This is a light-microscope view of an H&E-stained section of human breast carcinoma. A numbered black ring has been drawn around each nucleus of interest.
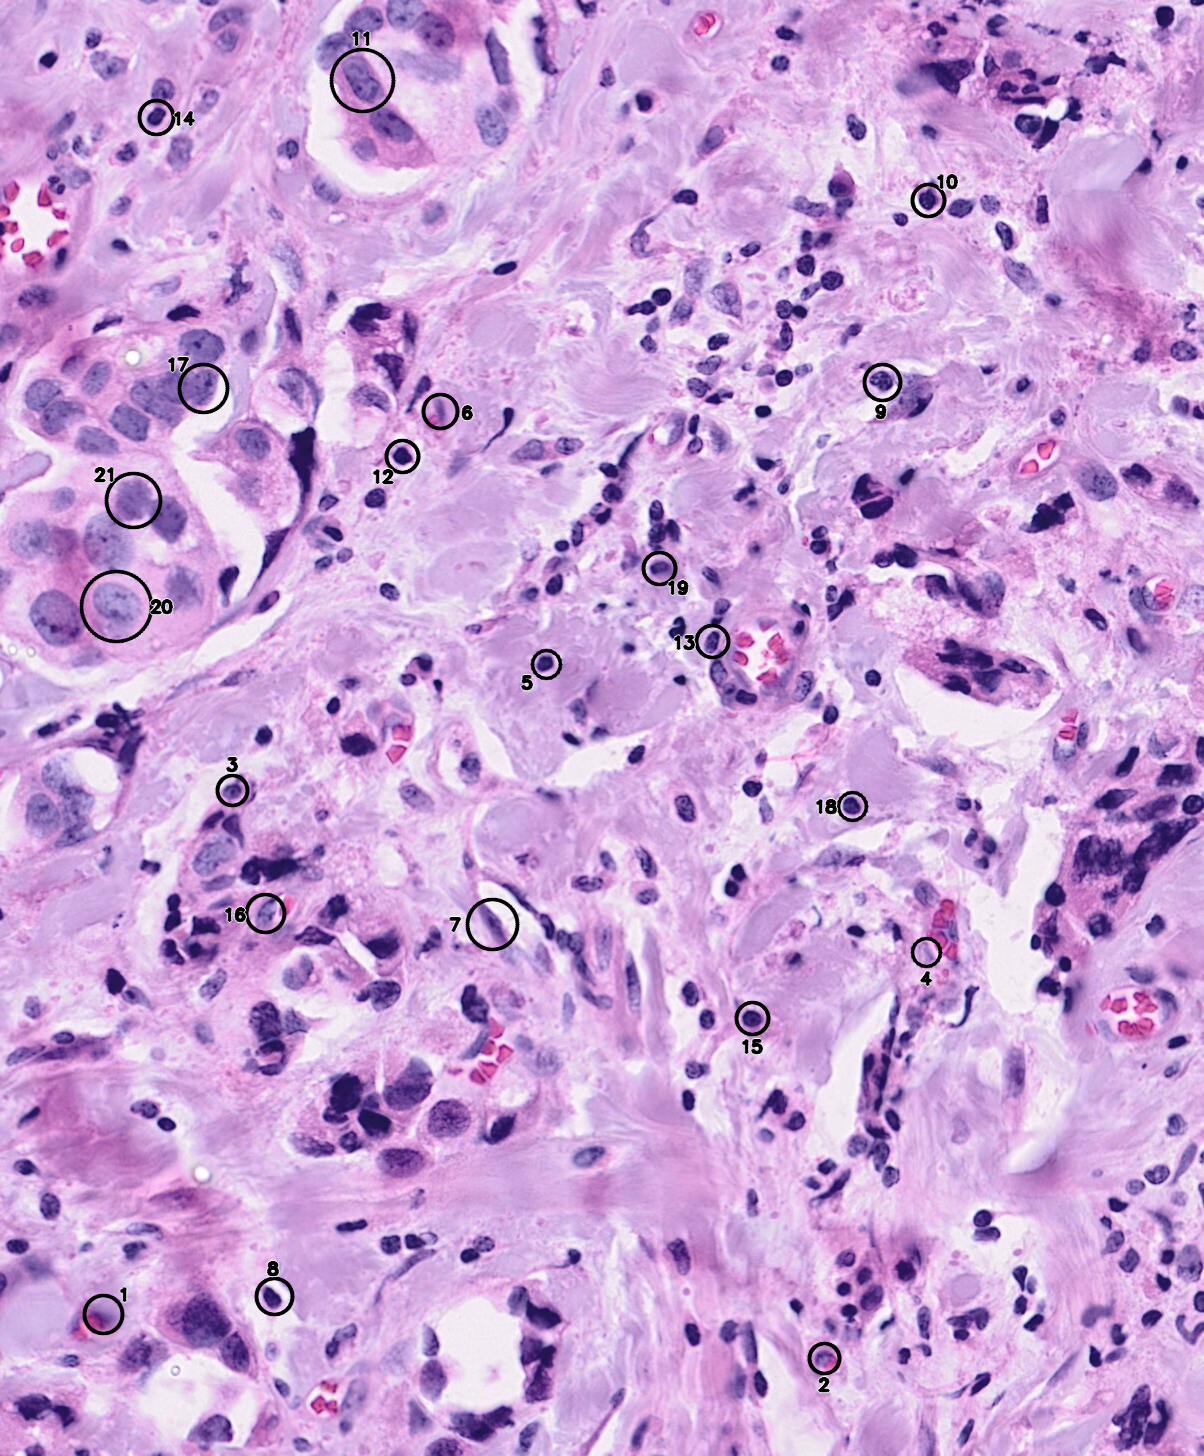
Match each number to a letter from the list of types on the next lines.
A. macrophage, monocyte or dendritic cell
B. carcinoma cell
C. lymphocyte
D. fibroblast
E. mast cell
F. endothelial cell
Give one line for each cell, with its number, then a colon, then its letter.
1: F
2: F
3: C
4: F
5: C
6: F
7: D
8: C
9: C
10: C
11: B
12: C
13: C
14: C
15: C
16: F
17: B
18: C
19: C
20: B
21: B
